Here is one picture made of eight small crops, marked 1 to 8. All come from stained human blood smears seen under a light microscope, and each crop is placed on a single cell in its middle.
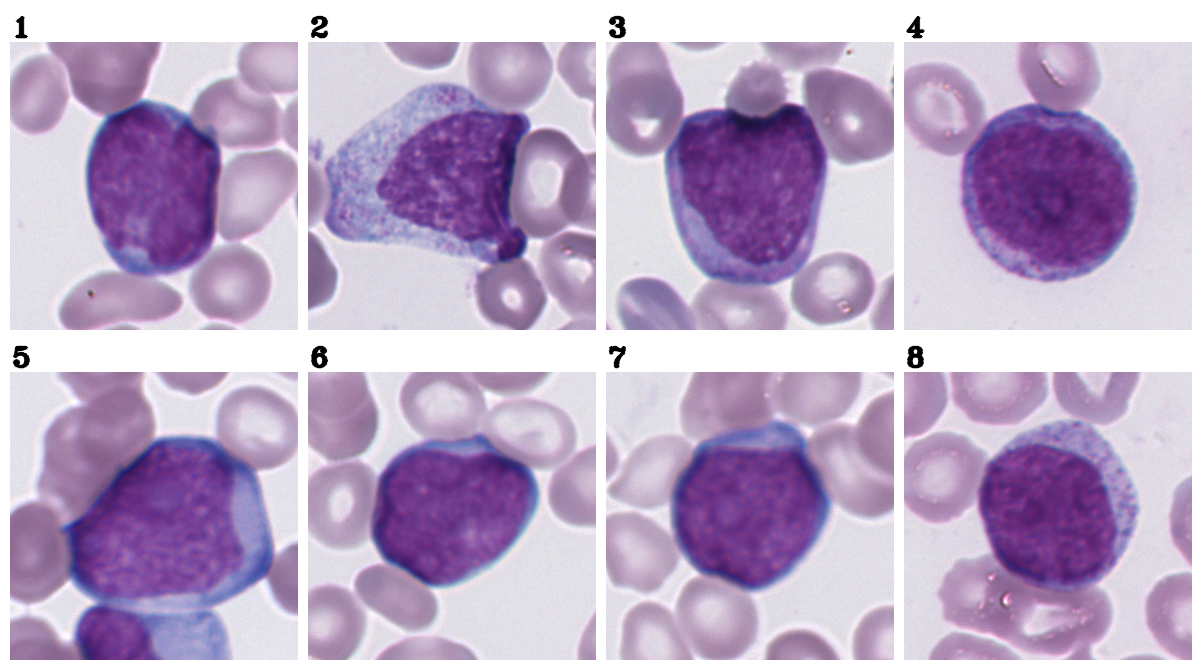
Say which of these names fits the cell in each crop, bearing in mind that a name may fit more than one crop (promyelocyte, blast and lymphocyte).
1: blast
2: promyelocyte
3: promyelocyte
4: promyelocyte
5: blast
6: blast
7: blast
8: promyelocyte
